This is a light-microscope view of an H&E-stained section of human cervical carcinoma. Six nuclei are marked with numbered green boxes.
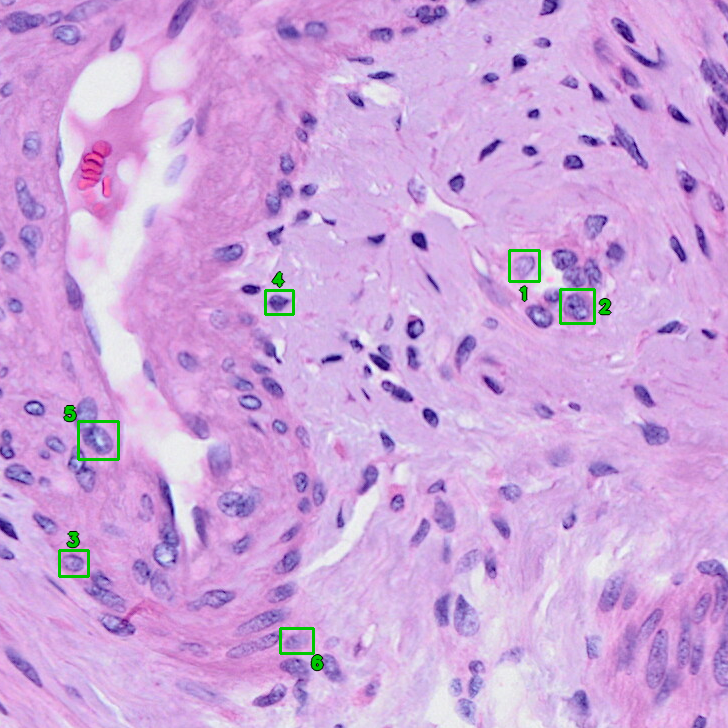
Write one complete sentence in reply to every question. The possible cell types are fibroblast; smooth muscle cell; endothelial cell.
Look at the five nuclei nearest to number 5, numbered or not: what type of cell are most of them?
The majority of the five nuclei closest to number 5 belong to smooth muscle cells.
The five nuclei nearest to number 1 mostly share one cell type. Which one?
Endothelial cells account for more than half of the five nuclei nearest to number 1.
